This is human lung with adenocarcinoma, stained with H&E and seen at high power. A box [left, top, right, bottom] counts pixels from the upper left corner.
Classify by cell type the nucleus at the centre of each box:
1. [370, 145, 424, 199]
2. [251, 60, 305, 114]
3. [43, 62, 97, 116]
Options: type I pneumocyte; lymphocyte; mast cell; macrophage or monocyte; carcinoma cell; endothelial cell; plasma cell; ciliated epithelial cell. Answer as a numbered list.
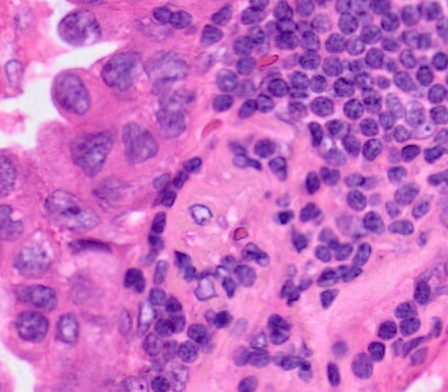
1. lymphocyte
2. lymphocyte
3. carcinoma cell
